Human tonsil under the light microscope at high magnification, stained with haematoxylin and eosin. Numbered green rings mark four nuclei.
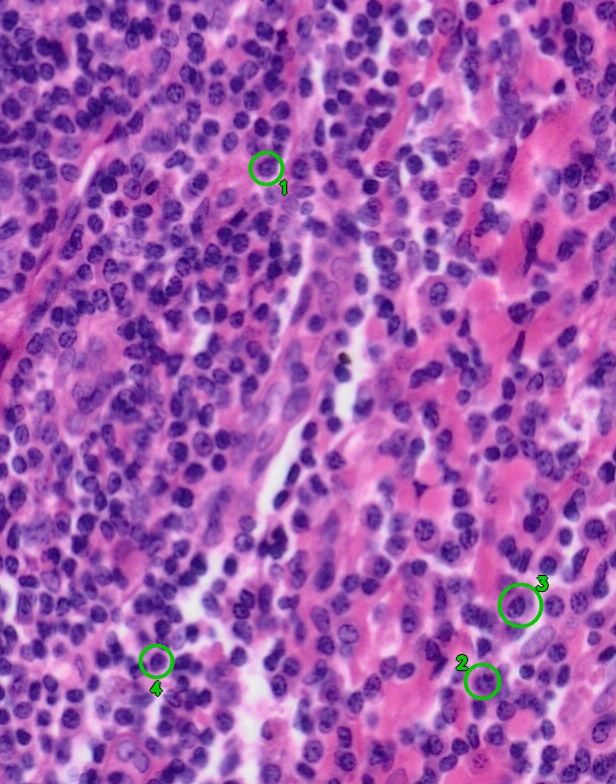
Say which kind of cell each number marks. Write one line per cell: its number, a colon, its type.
1: plasma cell
2: plasma cell
3: plasma cell
4: small lymphocyte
